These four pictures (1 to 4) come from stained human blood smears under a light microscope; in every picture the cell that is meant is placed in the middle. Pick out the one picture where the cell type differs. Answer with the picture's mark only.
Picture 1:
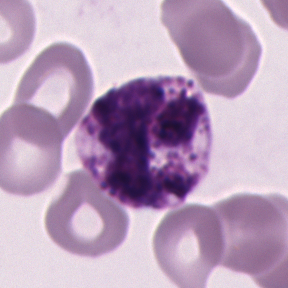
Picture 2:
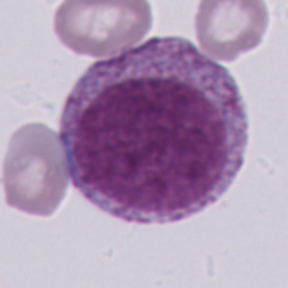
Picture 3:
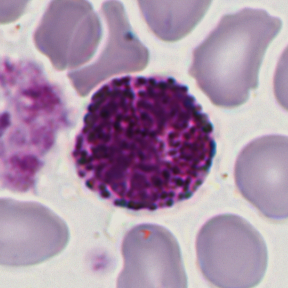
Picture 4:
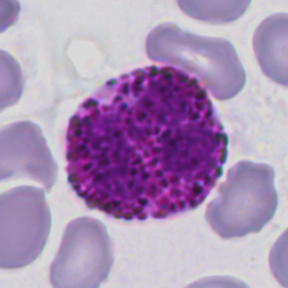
2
